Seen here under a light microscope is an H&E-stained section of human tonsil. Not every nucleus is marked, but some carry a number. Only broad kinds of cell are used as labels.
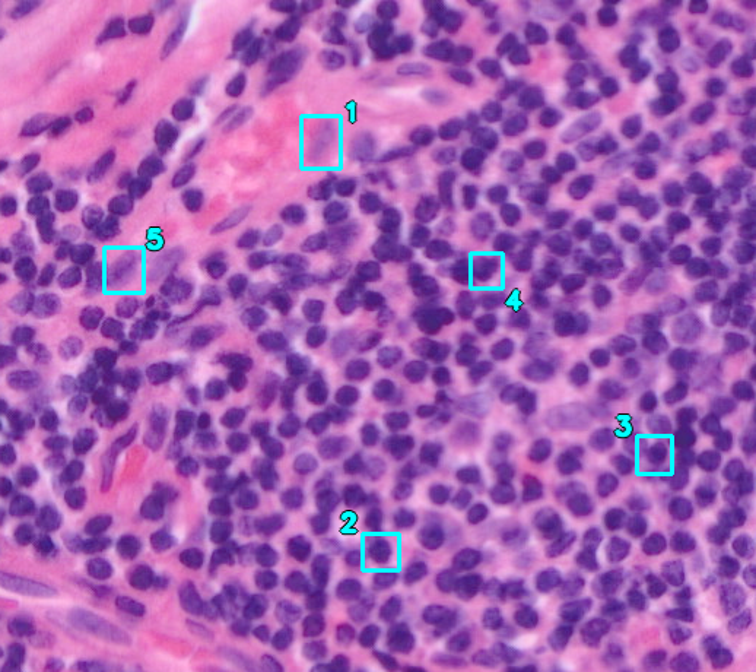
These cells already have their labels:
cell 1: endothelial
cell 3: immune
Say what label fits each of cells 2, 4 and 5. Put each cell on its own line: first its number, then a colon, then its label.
2: immune
4: immune
5: endothelial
